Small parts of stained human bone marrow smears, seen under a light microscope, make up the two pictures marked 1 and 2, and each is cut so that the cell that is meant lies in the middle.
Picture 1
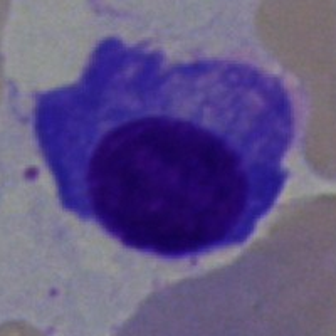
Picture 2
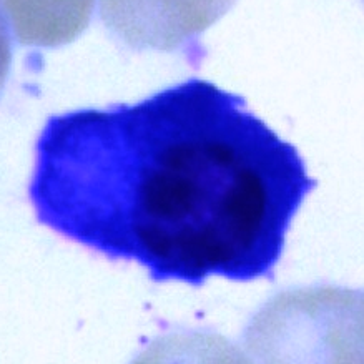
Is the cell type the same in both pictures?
yes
